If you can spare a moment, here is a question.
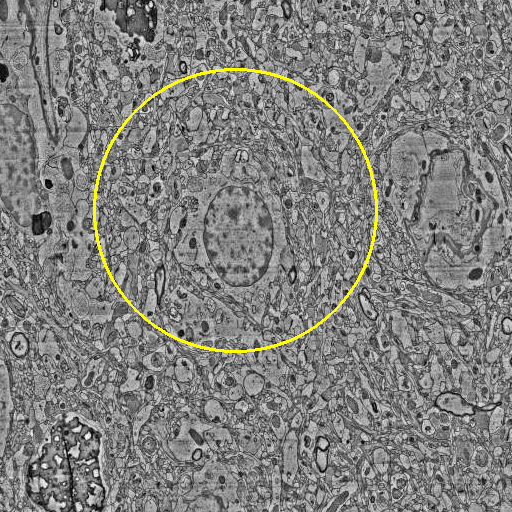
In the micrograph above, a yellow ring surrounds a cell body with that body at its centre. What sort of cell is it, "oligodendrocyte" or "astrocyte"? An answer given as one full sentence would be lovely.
Centred inside the yellow ring, the cell body shown belongs to an astrocyte in this micrograph.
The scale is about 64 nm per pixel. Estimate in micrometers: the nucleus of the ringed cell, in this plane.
In this plane, approximately 6 by 4 micrometers.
